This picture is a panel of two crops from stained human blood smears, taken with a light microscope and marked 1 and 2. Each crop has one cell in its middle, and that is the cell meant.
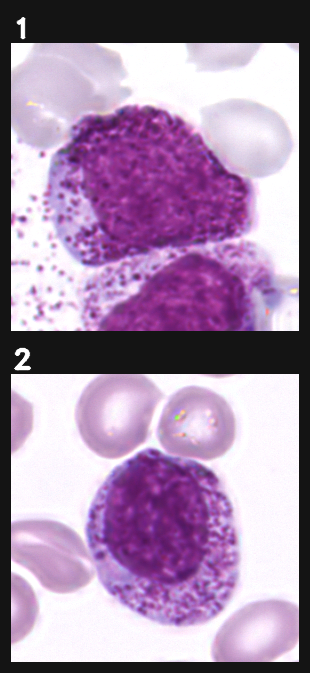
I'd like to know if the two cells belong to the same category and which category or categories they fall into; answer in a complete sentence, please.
No, crop 1 gives us a promyelocyte and crop 2 gives us a myelocyte.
